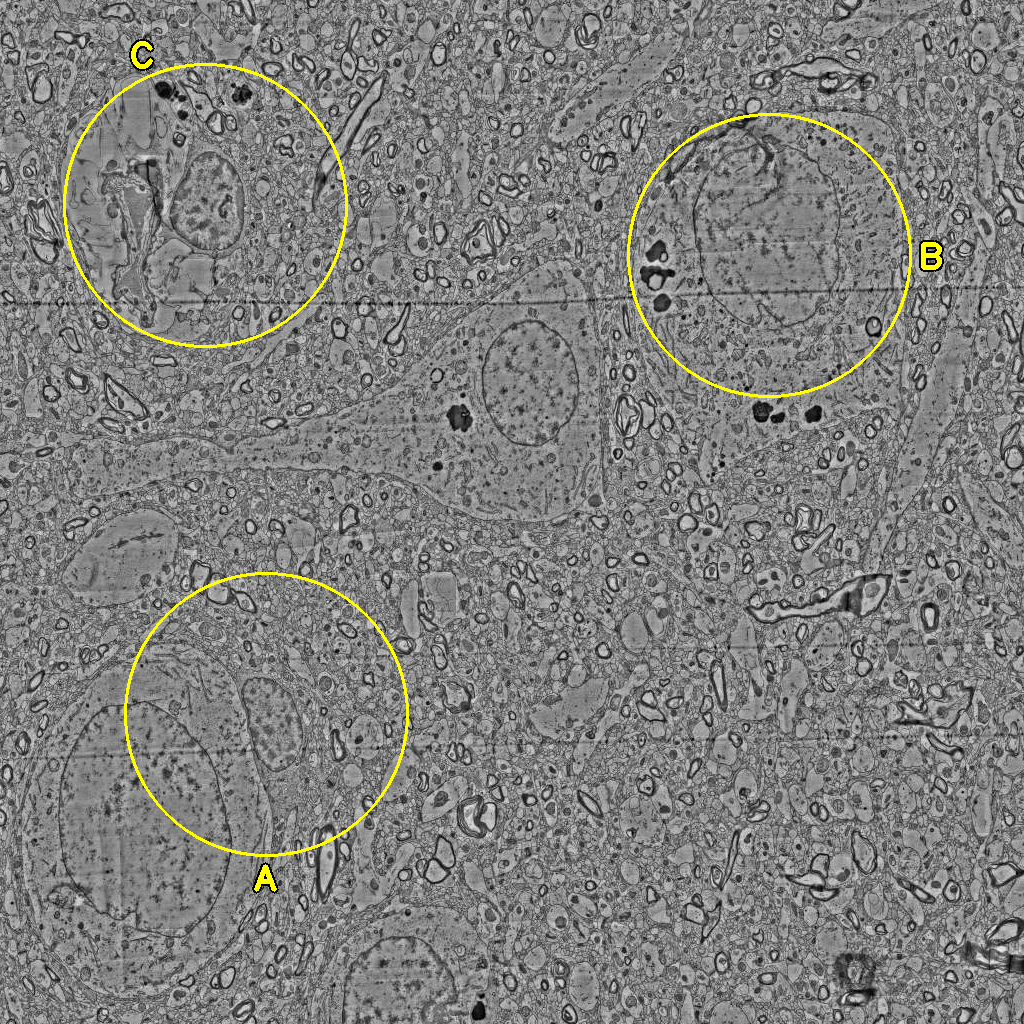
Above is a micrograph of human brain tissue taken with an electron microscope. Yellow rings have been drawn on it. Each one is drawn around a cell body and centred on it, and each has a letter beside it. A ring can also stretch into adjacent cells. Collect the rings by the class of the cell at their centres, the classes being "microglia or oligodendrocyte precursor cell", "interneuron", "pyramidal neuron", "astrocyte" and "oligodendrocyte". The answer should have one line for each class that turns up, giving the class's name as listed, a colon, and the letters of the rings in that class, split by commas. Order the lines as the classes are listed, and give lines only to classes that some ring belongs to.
pyramidal neuron: B
oligodendrocyte: A, C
